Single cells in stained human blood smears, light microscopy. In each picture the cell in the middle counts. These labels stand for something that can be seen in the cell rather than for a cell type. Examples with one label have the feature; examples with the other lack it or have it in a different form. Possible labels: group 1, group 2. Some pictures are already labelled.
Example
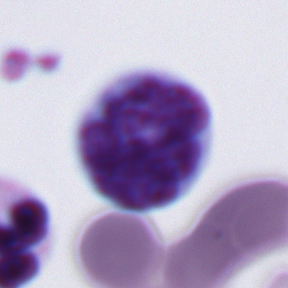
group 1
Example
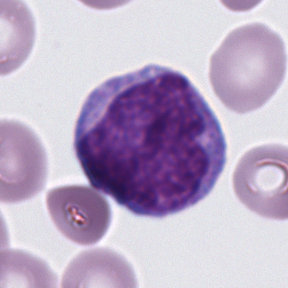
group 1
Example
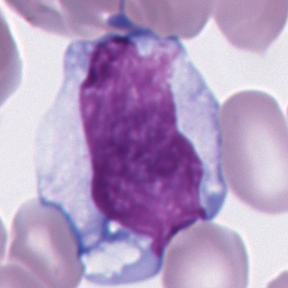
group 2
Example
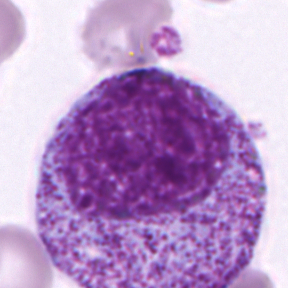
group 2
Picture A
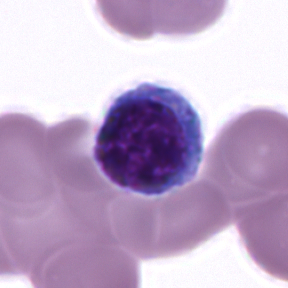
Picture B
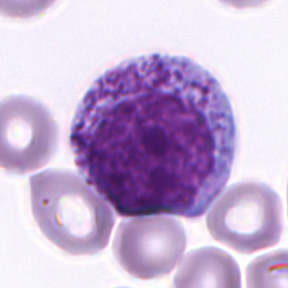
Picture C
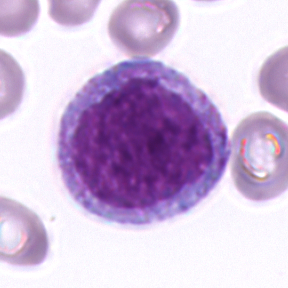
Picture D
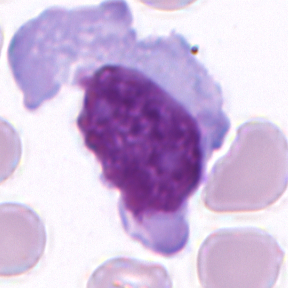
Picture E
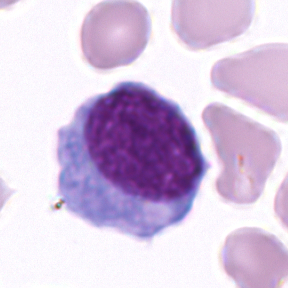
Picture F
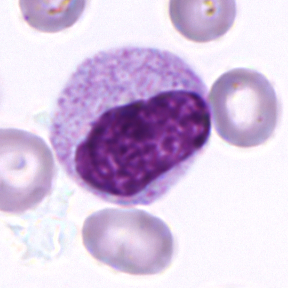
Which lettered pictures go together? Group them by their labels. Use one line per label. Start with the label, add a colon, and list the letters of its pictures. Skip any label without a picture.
group 1: A, B, C
group 2: D, E, F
